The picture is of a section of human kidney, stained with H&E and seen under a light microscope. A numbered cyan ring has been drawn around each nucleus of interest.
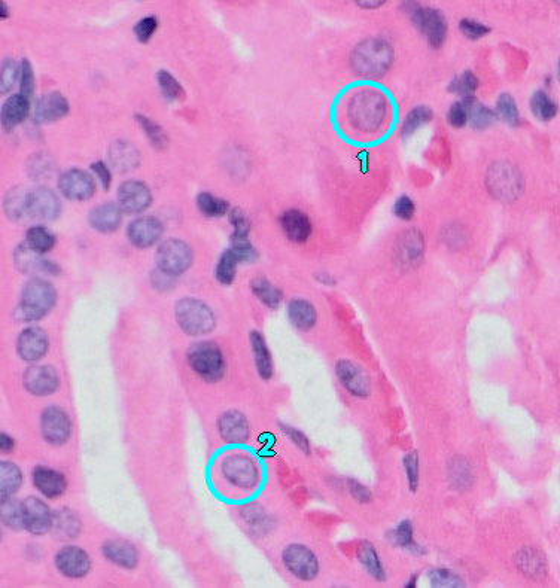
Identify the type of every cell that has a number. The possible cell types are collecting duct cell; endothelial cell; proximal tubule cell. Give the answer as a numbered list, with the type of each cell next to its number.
1. proximal tubule cell
2. collecting duct cell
